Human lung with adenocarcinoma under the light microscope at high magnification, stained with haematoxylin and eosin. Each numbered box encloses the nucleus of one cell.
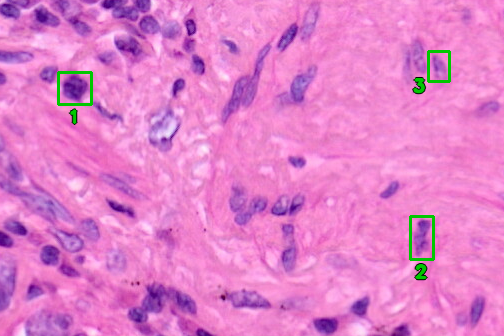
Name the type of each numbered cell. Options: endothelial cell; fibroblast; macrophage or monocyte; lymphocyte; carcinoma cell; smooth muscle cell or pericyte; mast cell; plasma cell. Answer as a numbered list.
1. plasma cell
2. smooth muscle cell or pericyte
3. smooth muscle cell or pericyte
